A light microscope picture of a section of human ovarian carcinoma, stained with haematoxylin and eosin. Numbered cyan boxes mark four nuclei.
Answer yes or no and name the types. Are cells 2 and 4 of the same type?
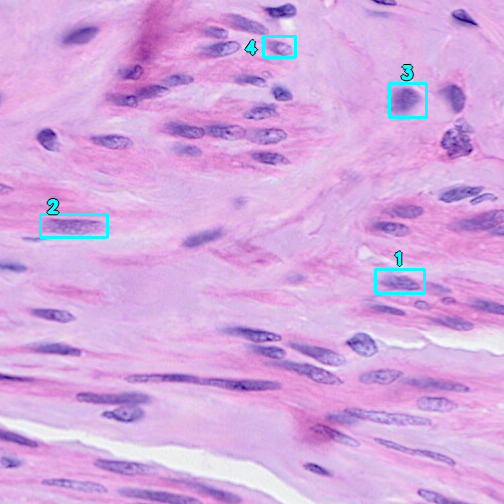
Yes, the cells bearing numbers 2 and 4 are both smooth muscle cells.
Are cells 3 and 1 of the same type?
No, the cell marked 3 is a fibroblast, and the cell marked 1 is a smooth muscle cell.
